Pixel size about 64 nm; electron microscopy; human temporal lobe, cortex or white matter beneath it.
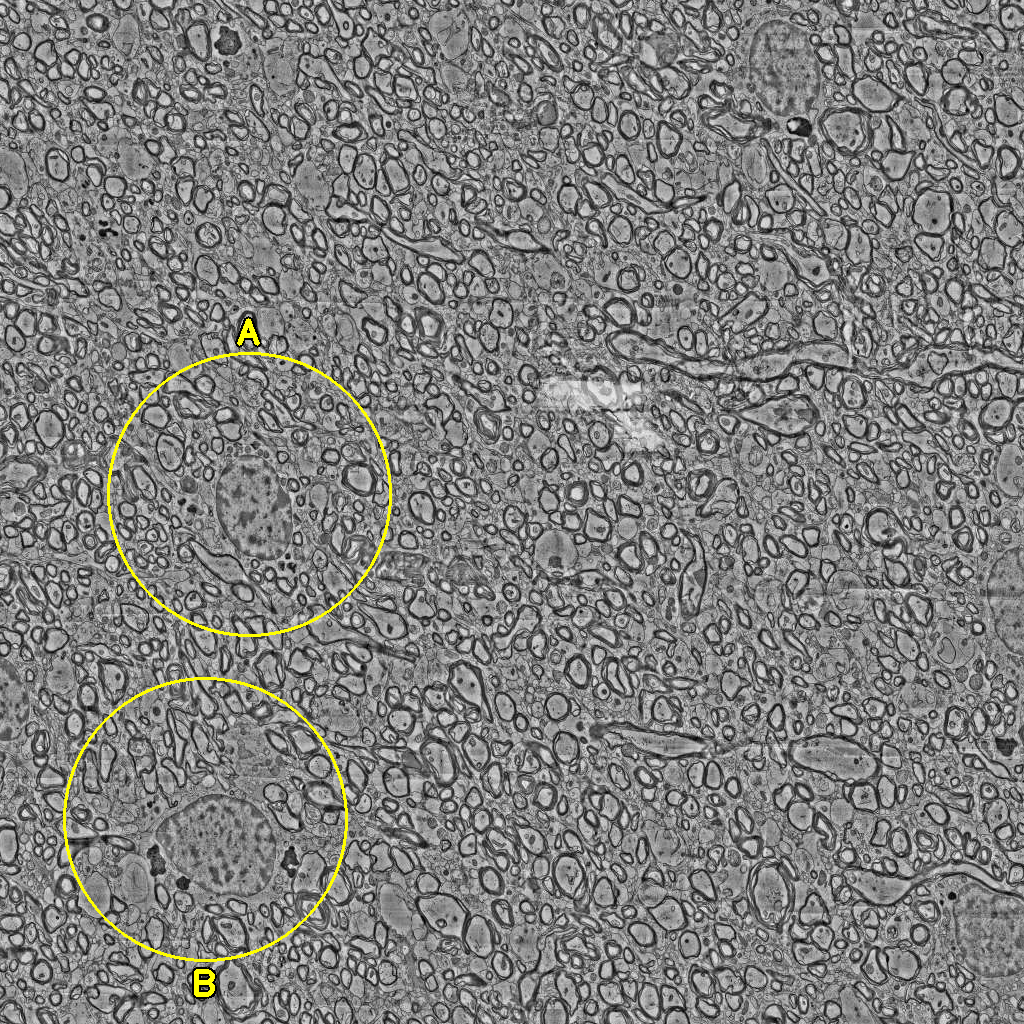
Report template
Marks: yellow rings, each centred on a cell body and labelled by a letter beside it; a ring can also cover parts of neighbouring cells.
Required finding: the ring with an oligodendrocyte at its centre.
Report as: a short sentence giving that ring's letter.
Ring B holds that cell at its centre.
